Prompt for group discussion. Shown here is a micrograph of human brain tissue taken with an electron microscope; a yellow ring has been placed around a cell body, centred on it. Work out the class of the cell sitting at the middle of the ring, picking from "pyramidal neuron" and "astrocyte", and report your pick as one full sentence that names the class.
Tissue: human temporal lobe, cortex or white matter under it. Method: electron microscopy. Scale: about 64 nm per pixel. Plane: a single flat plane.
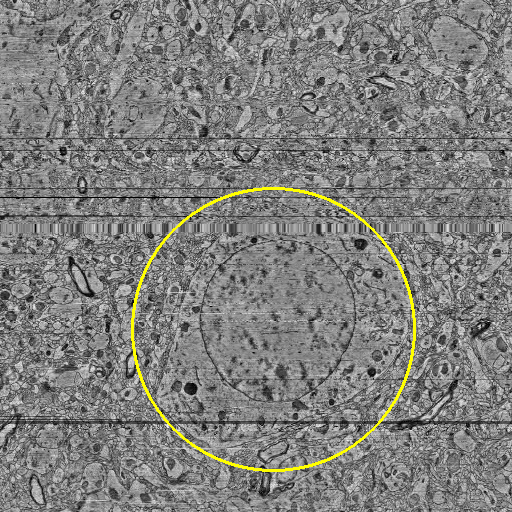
The cell sitting at the middle of the yellow ring is a pyramidal neuron.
